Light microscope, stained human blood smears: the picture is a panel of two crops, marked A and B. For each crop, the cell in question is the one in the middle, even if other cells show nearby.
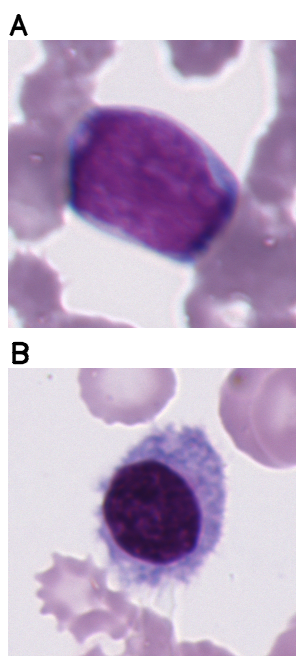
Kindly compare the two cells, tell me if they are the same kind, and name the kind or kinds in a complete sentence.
No, crop A corresponds to a myeloblast, while crop B corresponds to a hairy cell.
